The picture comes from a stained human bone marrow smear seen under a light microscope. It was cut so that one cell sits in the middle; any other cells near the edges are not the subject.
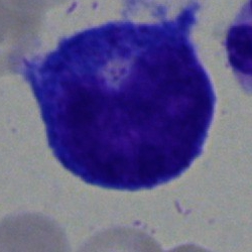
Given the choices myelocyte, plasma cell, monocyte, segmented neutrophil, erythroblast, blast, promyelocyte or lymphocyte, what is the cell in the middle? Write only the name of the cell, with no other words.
promyelocyte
